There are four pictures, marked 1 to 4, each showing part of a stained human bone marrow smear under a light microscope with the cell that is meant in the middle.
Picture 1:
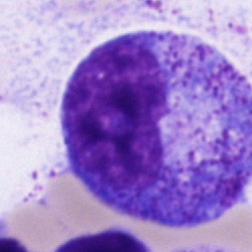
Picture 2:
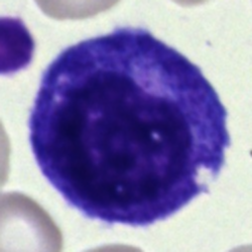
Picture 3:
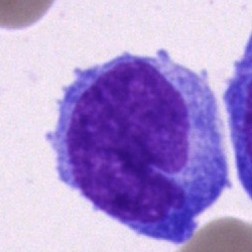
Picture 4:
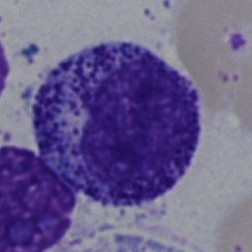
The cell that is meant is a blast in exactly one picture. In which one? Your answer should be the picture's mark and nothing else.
3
